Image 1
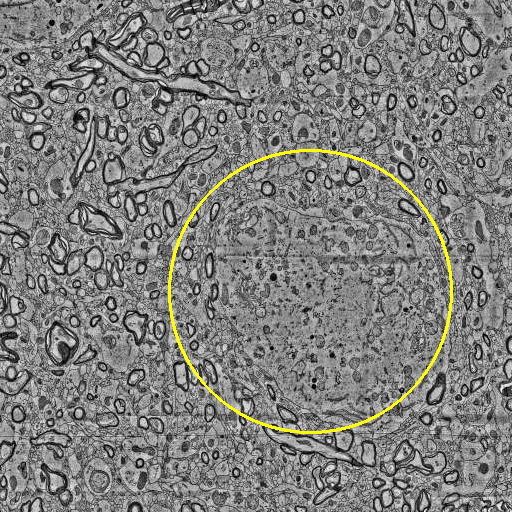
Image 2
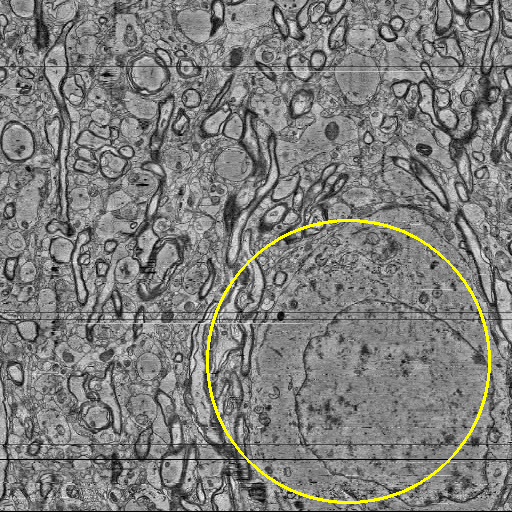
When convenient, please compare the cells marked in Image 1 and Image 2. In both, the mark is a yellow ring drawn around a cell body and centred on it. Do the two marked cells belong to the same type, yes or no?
no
